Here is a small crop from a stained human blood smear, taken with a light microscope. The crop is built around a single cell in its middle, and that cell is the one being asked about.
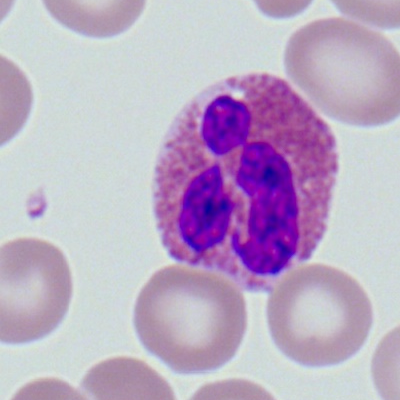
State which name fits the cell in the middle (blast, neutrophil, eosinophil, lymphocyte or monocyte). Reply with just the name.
eosinophil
